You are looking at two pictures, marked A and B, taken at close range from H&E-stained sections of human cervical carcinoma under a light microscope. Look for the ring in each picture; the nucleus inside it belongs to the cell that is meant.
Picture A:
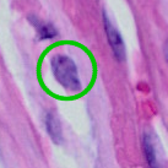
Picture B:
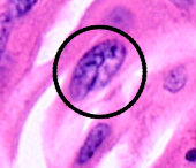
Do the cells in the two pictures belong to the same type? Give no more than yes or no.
no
